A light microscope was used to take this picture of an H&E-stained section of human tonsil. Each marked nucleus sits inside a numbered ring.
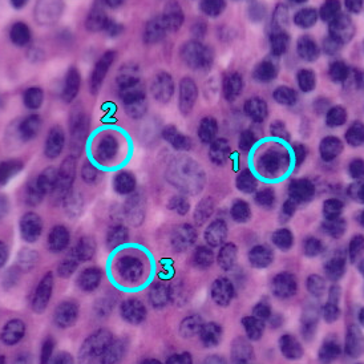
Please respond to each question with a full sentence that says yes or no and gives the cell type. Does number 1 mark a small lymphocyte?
Yes, the cell marked with number 1 is a small lymphocyte.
